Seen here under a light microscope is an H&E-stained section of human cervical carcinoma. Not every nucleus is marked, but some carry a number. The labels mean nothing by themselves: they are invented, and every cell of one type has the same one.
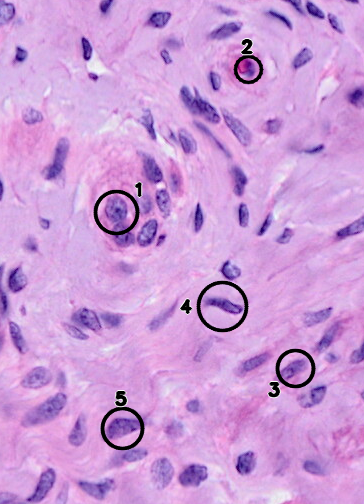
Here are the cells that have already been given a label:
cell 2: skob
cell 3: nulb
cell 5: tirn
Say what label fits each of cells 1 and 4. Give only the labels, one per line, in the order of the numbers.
skob
tirn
